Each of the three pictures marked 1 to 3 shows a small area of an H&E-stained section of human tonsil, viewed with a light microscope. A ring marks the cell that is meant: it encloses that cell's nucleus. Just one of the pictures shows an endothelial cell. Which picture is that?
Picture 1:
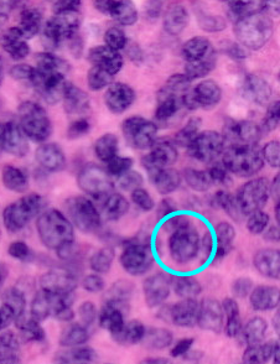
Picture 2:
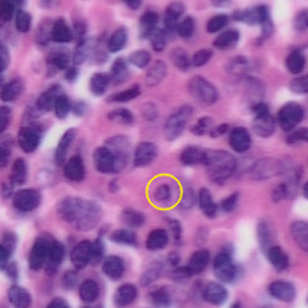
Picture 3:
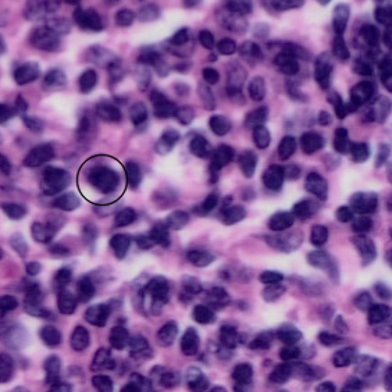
2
